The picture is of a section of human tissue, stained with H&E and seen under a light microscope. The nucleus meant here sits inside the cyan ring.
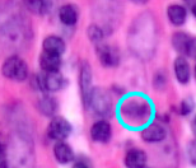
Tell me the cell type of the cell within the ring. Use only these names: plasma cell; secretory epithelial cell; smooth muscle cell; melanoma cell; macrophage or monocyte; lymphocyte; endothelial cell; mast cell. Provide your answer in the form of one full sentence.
Speaking plainly, the cell within the ring is nothing other than an endothelial cell.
